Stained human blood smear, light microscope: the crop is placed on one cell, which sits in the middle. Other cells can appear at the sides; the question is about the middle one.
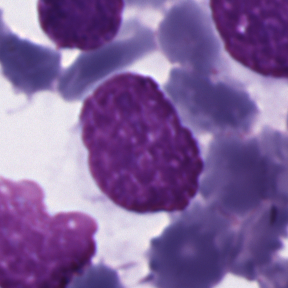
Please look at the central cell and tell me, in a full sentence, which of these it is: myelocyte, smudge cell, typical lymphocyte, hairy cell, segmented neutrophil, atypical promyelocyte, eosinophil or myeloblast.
The middle of this crop is occupied by a smudge cell.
